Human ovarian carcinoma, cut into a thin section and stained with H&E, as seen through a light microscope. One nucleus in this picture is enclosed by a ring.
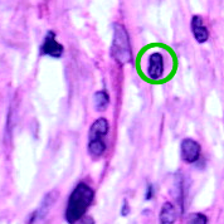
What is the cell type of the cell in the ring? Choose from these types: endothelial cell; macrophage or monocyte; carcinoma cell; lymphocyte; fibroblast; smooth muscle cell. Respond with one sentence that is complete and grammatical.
The identity of the cell in the ring: it is a lymphocyte.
